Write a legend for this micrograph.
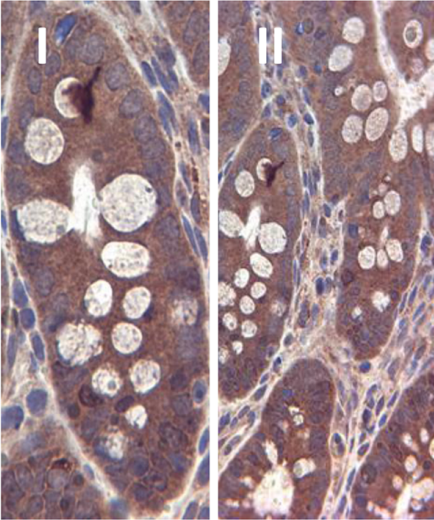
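Intestinal mucosa with crypts lined by columnar epithelium, seen at high magnification, with one crypt on the left and several crypts on the right. The epithelial cytoplasm is diffusely brown, while the nuclei are oval and bluish, lined up along the base of the cells. Numerous pale, rounded, clear vacuoles of goblet-like cells are scattered through the epithelium and cluster around the narrow central lumen. Between the crypts lies loose connective tissue of the lamina propria, paler, with small elongated dark blue nuclei of stromal cells. In the left image a small dark, irregular fleck lies near the lumen.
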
